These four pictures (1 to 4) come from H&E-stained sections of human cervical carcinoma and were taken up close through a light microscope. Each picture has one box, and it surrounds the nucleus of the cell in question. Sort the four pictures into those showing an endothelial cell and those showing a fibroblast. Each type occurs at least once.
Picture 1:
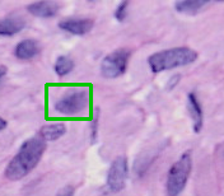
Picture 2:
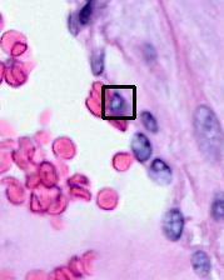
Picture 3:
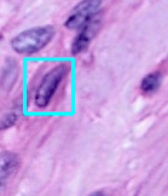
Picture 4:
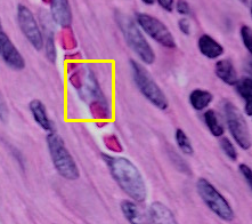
1: fibroblast
2: endothelial cell
3: endothelial cell
4: endothelial cell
